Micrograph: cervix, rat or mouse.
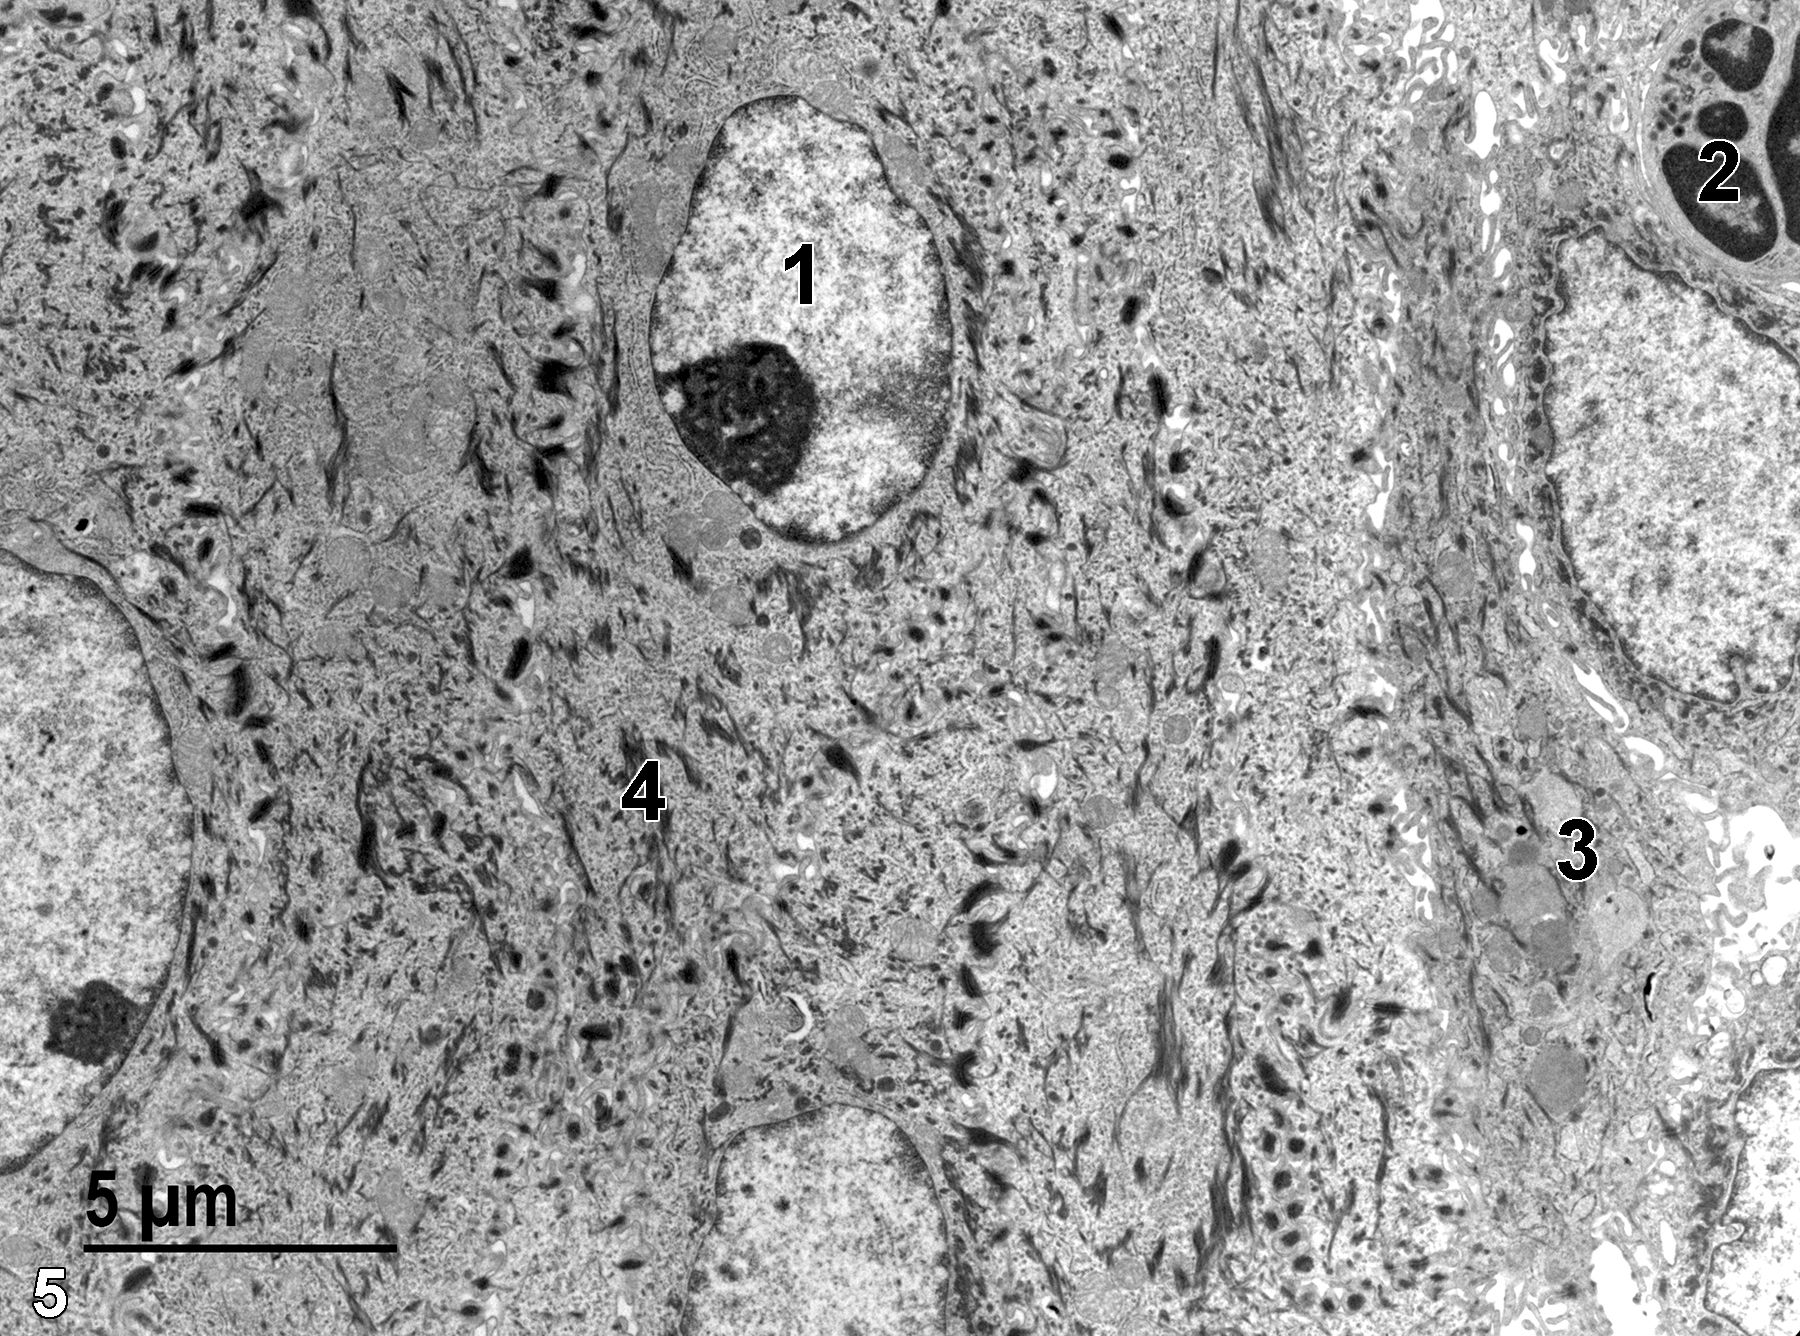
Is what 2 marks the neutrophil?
Yes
